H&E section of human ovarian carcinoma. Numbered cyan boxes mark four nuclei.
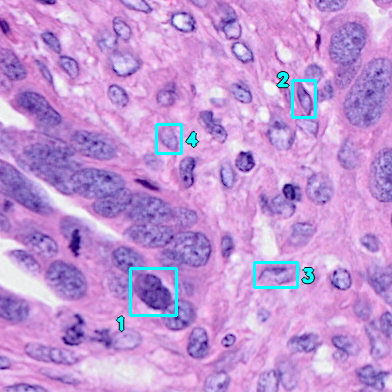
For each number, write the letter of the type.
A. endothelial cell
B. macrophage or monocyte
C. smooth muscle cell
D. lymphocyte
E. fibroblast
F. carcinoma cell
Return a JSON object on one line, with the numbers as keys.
{"1": "F", "2": "E", "3": "E", "4": "E"}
